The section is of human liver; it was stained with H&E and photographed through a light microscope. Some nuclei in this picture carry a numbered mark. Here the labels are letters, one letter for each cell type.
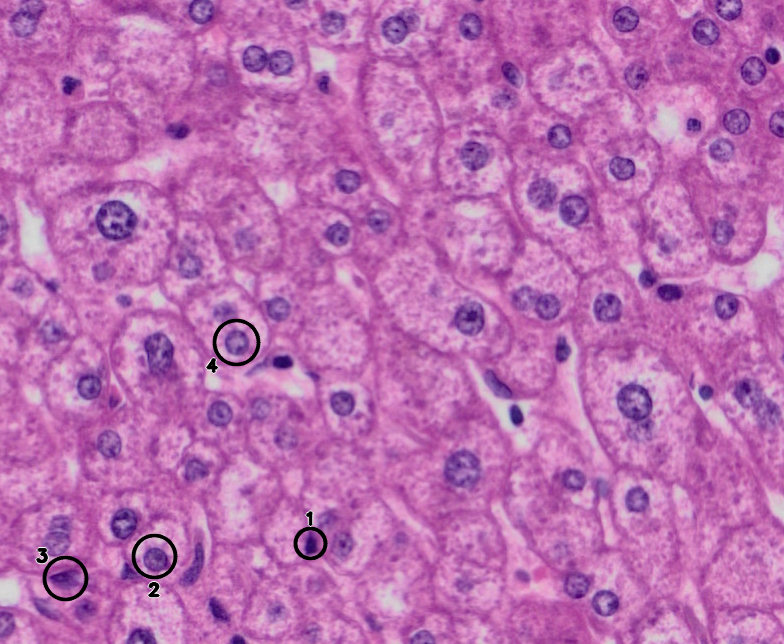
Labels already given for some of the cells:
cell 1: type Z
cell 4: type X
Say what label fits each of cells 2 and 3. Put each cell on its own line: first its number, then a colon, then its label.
2: type X
3: type Z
